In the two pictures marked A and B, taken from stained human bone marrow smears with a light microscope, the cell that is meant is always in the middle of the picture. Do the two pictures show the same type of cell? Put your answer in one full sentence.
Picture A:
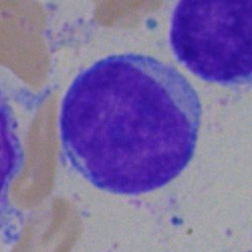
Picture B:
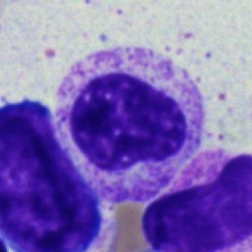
No. Picture A shows a blast, but picture B shows a myelocyte.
